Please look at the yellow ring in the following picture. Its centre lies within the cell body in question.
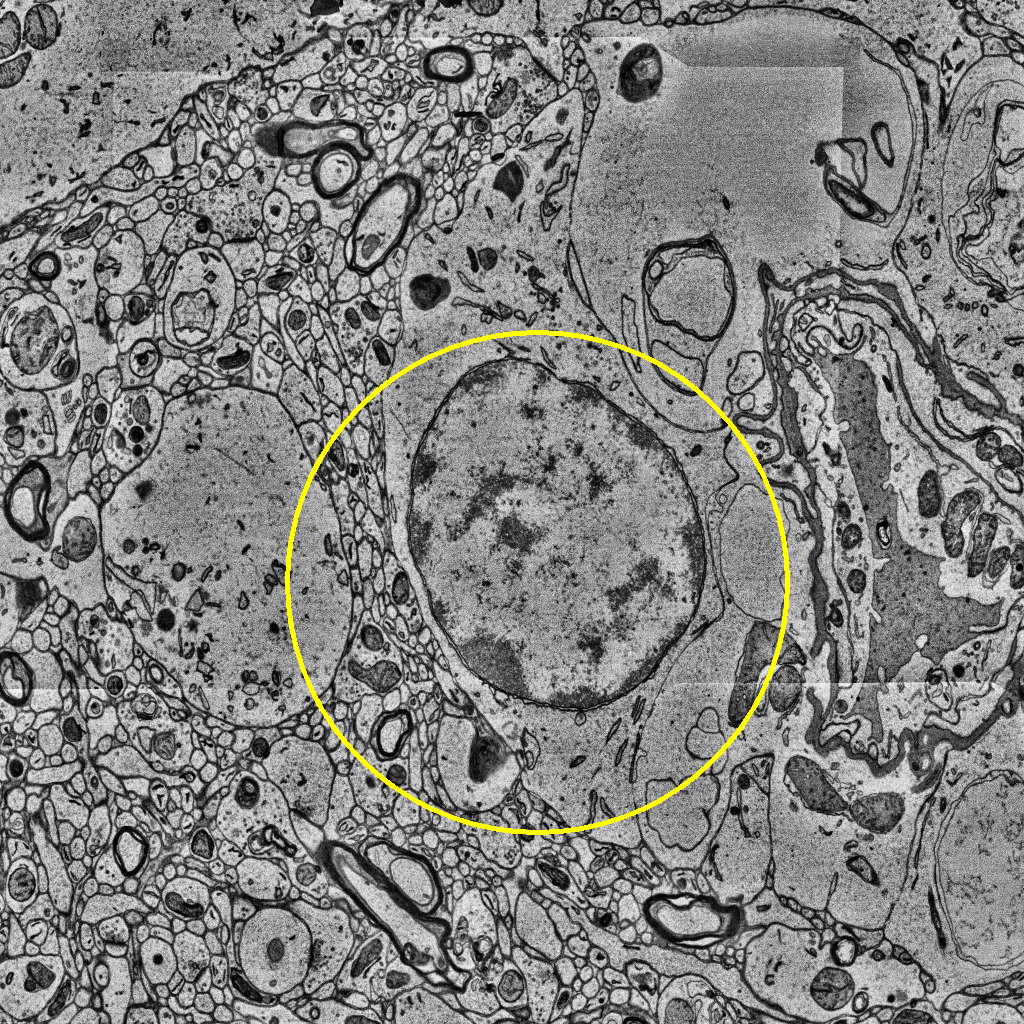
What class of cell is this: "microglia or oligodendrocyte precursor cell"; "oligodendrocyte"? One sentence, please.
The centre of the ring lies in the cell body of a microglial cell or oligodendrocyte precursor cell.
